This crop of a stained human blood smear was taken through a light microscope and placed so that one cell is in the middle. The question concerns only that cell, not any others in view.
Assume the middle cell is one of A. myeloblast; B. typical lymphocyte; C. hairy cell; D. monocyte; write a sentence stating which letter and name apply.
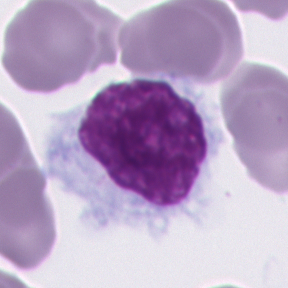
Answer key: option C, the middle cell being a hairy cell.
